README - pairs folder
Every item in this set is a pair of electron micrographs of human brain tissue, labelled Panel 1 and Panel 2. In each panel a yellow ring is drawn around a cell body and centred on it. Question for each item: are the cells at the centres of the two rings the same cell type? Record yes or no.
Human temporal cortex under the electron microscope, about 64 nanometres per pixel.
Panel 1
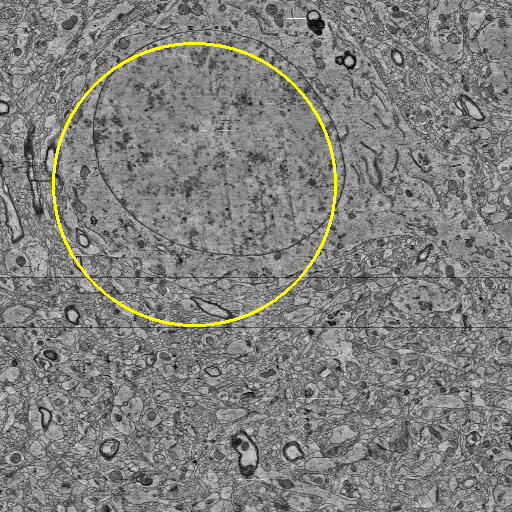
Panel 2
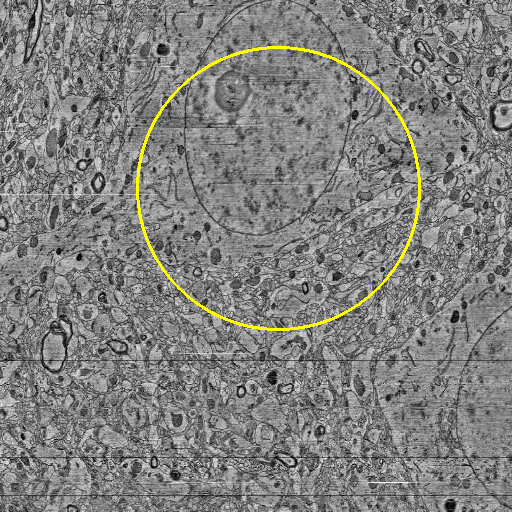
yes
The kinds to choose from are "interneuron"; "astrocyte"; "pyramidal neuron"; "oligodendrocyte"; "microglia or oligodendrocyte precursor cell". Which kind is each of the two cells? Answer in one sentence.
Both the first and the second picture show a pyramidal neuron in the ring.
